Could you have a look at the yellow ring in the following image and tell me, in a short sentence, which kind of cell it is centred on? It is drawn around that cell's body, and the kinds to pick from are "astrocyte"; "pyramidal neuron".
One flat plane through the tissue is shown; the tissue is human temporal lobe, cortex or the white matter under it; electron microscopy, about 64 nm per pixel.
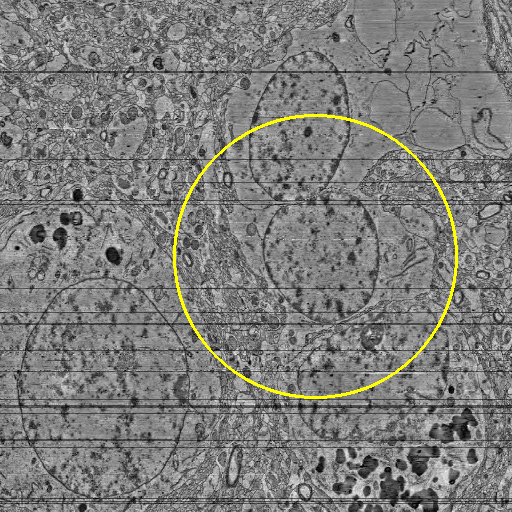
The ring is centred on the body of an astrocyte.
